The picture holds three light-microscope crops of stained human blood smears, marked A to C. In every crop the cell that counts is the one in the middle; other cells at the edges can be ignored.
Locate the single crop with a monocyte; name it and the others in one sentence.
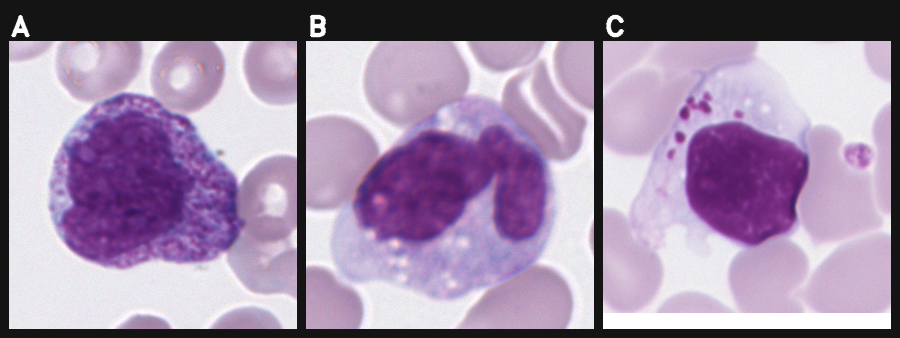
So crop B shows a monocyte, while crop A is an atypical promyelocyte and crop C is a large granular lymphocyte.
